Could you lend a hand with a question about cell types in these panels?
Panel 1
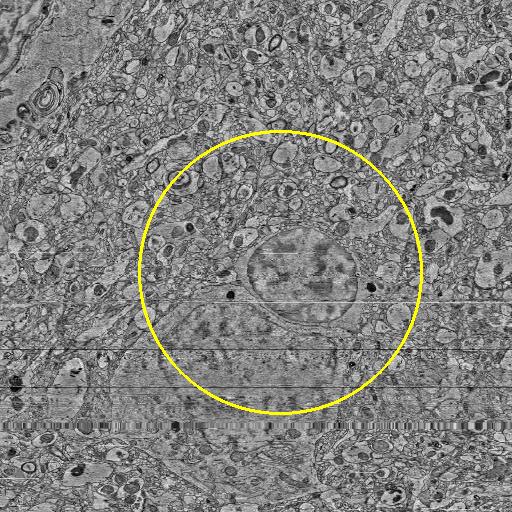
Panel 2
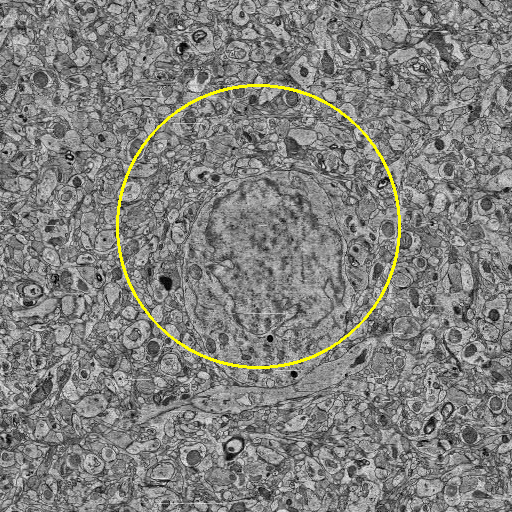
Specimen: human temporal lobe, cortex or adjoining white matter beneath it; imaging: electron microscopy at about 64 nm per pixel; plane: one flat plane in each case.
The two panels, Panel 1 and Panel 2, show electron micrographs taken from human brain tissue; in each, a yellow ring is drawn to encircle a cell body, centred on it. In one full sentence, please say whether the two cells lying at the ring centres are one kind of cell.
No, the cells at the ring centres in the two panels are two kinds of cell.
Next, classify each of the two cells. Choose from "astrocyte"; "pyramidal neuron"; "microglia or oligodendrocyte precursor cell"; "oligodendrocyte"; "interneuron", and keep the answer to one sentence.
In the first picture it is an oligodendrocyte; in the second it is an interneuron.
